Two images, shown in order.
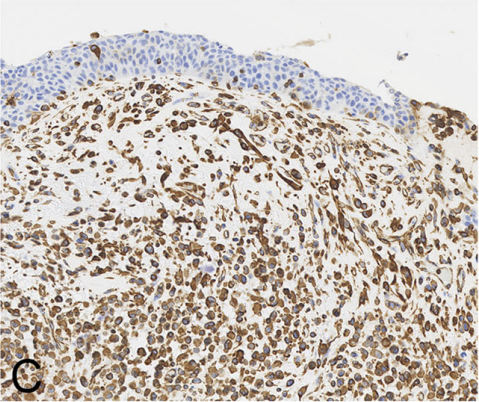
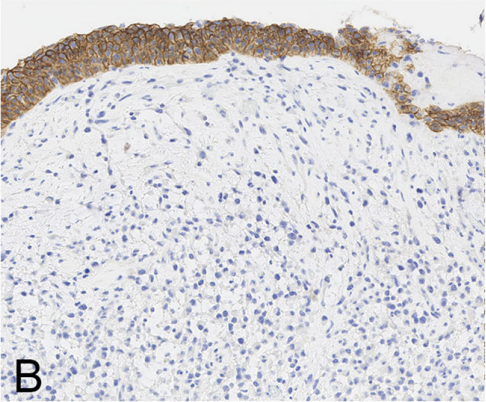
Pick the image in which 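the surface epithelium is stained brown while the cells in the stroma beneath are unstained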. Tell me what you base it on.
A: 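First image: the surface epithelium is blue and the cells in the stroma are brown. Second image: the surface epithelium is brown and the cells in the stroma are blue. On this evidence: the second image.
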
